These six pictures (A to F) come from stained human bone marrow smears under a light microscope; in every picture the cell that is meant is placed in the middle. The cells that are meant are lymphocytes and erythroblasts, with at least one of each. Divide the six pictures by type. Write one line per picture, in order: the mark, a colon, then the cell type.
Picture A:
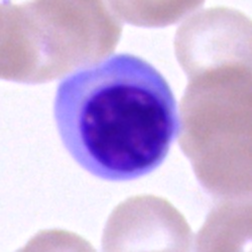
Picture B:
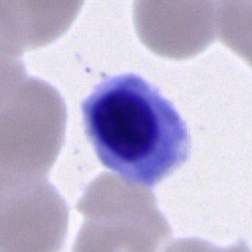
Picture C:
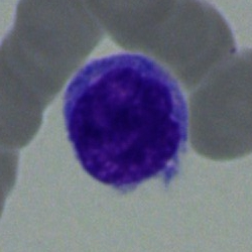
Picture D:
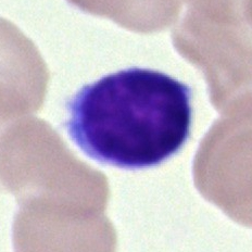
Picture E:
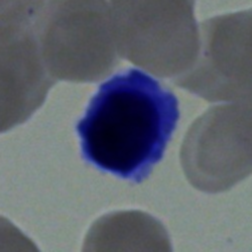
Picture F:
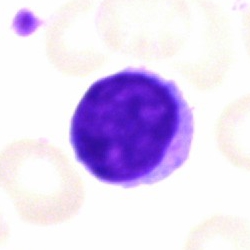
A: erythroblast
B: erythroblast
C: lymphocyte
D: lymphocyte
E: erythroblast
F: lymphocyte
